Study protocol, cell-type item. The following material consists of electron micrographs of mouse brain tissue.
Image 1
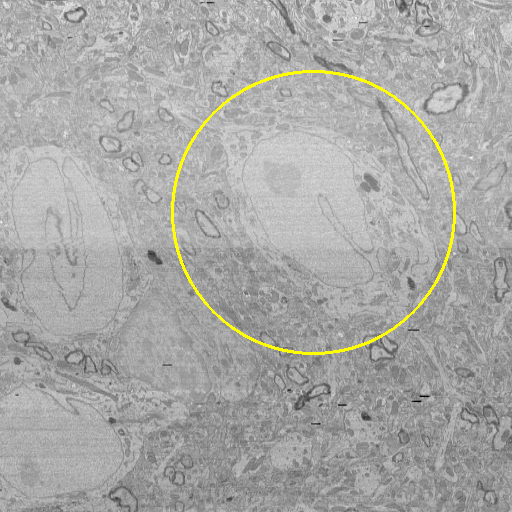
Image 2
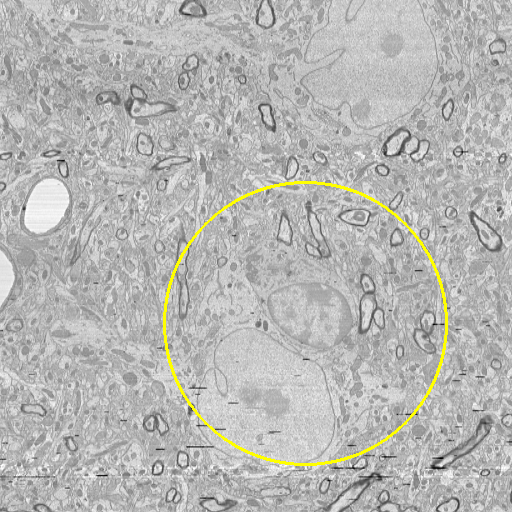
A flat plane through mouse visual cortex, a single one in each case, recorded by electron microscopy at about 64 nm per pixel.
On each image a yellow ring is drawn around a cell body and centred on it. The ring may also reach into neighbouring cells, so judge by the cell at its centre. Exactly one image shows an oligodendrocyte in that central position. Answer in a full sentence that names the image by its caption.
The cell at the centre of the ring in Image 2 is of that kind.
